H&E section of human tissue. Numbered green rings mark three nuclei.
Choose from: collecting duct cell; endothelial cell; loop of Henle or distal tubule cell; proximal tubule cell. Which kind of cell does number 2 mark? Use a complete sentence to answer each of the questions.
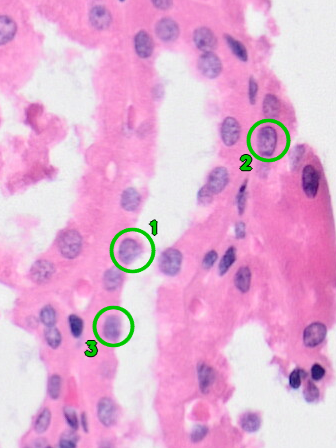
In the tissue shown, cell 2 is a proximal tubule cell.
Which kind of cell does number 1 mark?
The cell indicated with the number 1 is classed as a loop of Henle or distal tubule cell.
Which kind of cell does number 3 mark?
The one numbered 3 among the marked cells is a loop of Henle or distal tubule cell.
